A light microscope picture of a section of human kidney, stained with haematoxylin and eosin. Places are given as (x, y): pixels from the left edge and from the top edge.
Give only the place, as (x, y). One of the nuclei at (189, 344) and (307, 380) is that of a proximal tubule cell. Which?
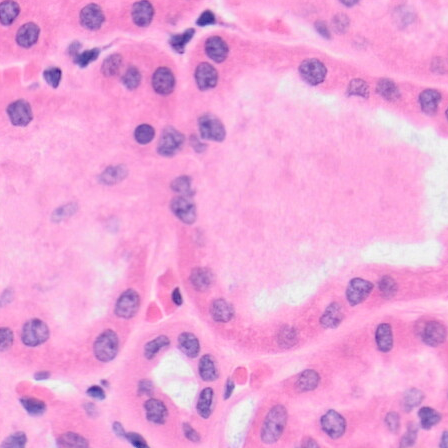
(307, 380)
